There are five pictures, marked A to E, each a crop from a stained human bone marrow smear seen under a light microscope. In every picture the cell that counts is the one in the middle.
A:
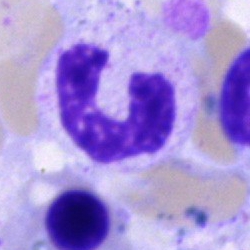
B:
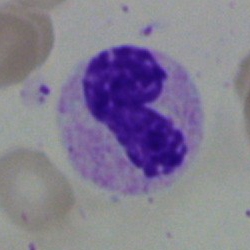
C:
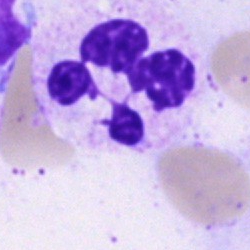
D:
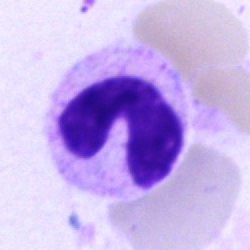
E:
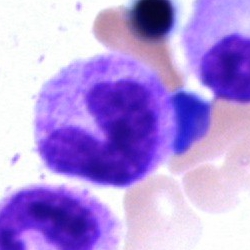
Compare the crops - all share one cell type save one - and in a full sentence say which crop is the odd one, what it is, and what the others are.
Crop C differs: it is a segmented neutrophil, and all the other crops show band neutrophils.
